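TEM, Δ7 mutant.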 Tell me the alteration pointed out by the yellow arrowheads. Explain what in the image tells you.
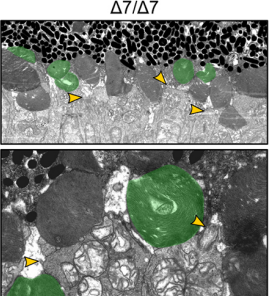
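Pale empty gaps lie at the arrowheads between the dark stacked-membrane segments and the paler segments below. Some dark segments are not in contact with the region beneath them. On this evidence: regions of disconnection.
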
